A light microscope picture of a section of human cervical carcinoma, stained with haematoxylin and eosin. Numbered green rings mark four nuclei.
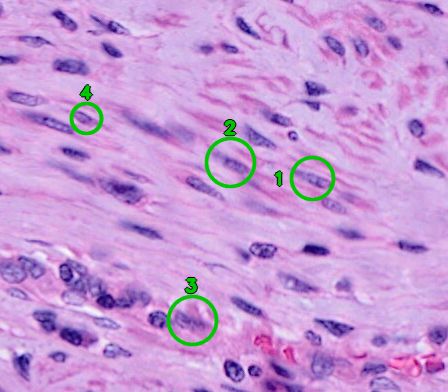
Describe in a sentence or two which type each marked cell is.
Cell 1 is a smooth muscle cell, cell 2 is a smooth muscle cell, cell 3 is an endothelial cell and cell 4 is a smooth muscle cell.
